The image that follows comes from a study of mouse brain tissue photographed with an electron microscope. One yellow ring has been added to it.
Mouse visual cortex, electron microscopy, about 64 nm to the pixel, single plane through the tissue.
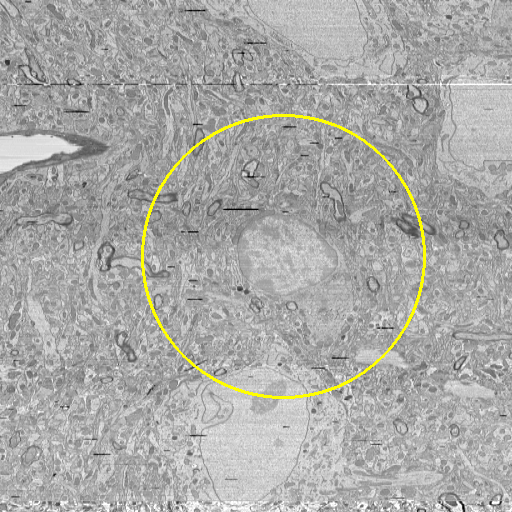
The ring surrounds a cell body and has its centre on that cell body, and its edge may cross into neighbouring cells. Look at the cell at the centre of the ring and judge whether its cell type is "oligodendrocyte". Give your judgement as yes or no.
yes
